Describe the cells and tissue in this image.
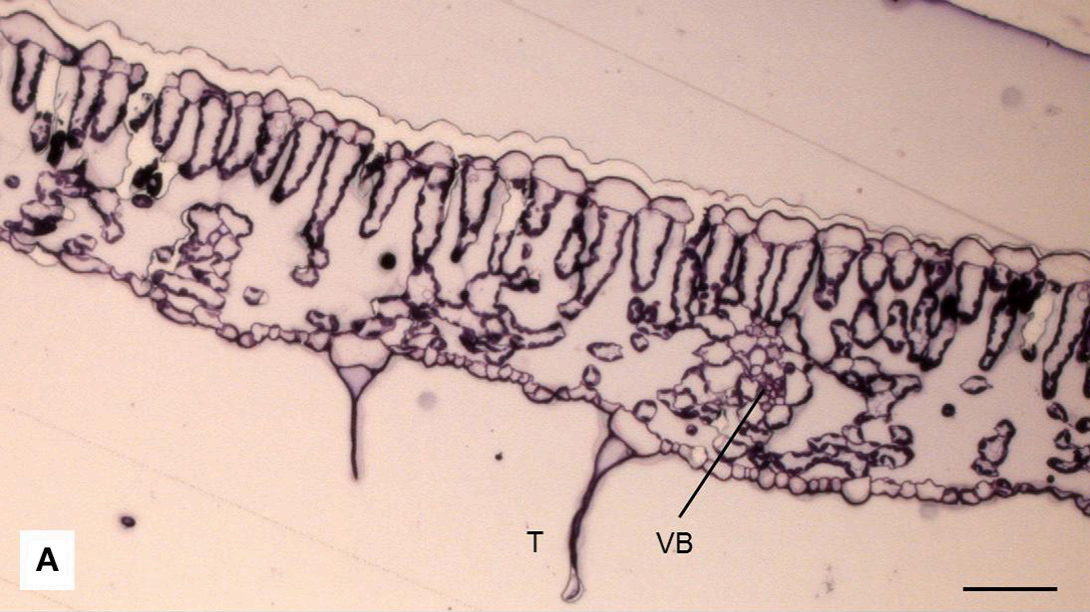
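A cross-section of a leaf blade showing its layered structure. The upper surface is covered by a single layer of clear, rounded epidermal cells. Beneath it lies a palisade layer of tall, narrow columnar cells set perpendicular to the surface, their darkly outlined walls packed side by side. Below this, the spongy mesophyll consists of irregular, lobed cells separated by wide air spaces. A vascular bundle appears as a cluster of small, tightly packed cells within this loose tissue. The lower epidermis is a thin layer of small cells, from which long slender hairs with swollen basal cells project outward.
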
